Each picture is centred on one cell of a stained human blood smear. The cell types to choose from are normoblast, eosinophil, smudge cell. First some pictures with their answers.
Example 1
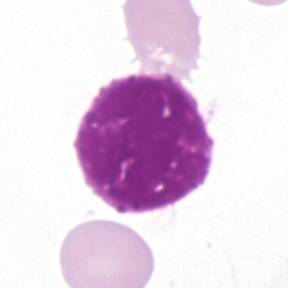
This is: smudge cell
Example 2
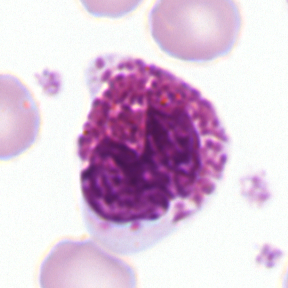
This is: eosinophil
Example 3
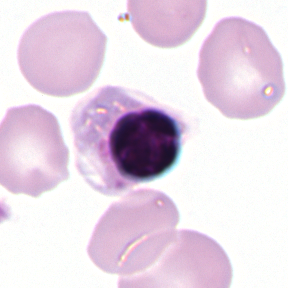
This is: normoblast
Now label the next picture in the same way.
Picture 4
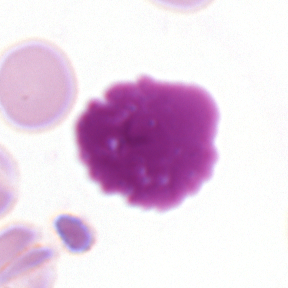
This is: smudge cell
